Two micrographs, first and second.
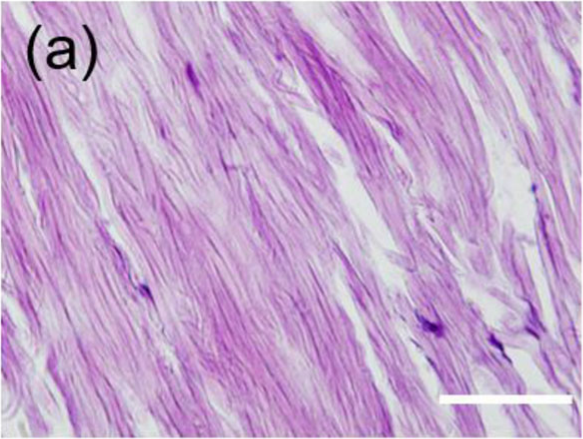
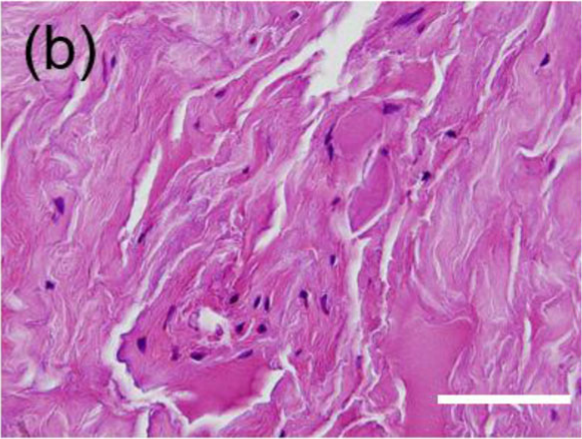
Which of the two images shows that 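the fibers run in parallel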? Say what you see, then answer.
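Second image: fibers wavy, fragmented and running in different directions, separated by irregular clefts. First image: long fibers aligned in one diagonal direction across the whole field. The answer: the first image.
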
